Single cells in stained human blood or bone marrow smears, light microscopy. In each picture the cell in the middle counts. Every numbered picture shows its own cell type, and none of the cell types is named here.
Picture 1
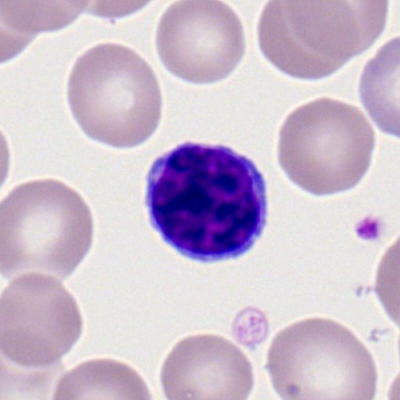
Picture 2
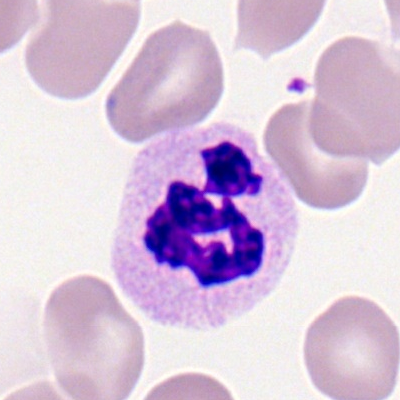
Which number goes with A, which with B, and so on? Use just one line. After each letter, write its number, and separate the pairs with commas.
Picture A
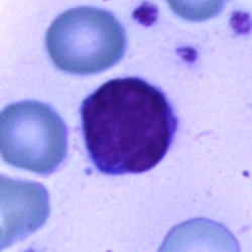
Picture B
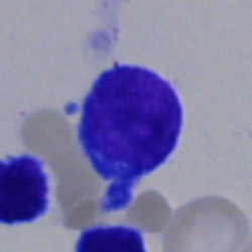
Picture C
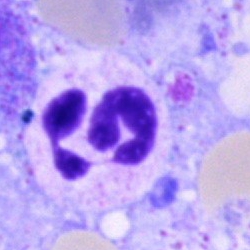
A 1, B 1, C 2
